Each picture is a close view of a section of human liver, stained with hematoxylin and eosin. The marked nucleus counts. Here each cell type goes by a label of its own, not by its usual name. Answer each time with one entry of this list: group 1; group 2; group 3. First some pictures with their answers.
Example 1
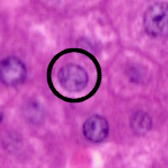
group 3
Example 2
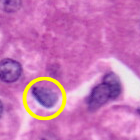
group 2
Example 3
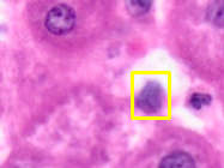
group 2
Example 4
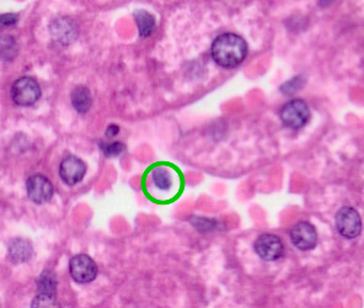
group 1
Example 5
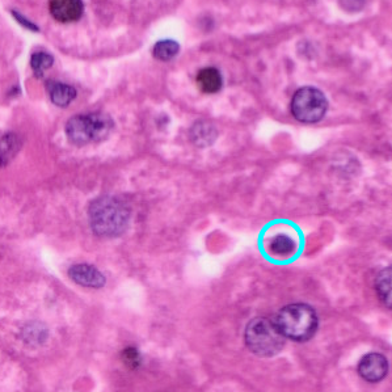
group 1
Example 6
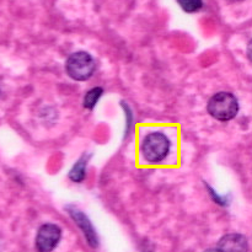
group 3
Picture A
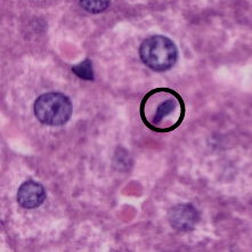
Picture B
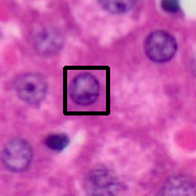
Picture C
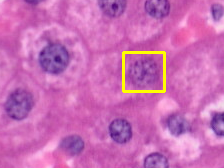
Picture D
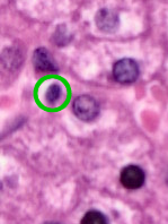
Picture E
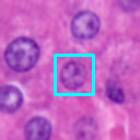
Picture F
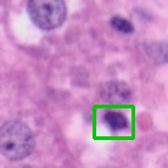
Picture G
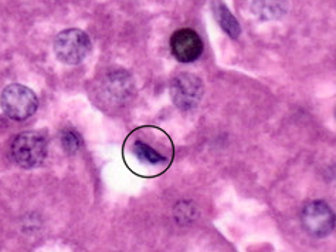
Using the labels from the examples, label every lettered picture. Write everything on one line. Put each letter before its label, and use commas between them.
A group 1, B group 3, C group 3, D group 1, E group 3, F group 1, G group 2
